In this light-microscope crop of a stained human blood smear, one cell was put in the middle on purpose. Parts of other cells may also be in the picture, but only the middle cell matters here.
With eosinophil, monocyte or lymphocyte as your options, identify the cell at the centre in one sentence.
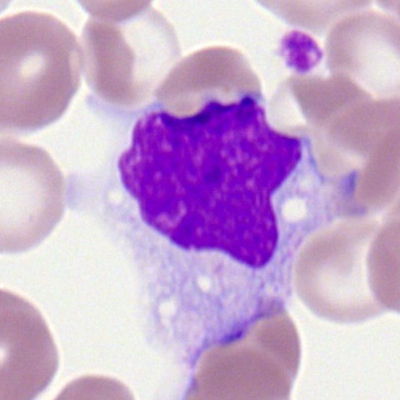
The cell in the middle of this crop is a monocyte.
